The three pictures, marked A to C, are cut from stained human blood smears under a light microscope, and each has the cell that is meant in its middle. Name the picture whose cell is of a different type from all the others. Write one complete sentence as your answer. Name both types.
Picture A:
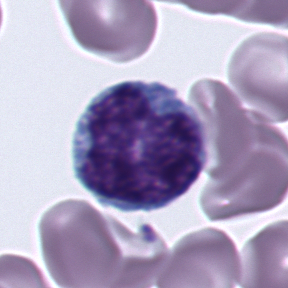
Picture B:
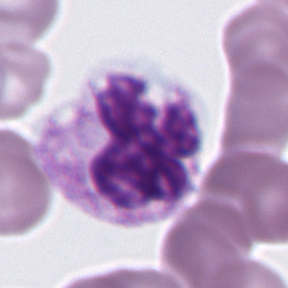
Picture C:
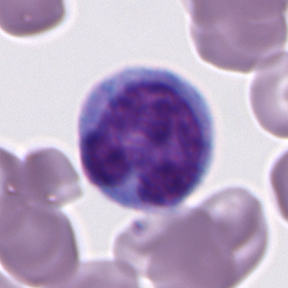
Picture B is the odd one out: it shows a segmented neutrophil, while the others show monocytes.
